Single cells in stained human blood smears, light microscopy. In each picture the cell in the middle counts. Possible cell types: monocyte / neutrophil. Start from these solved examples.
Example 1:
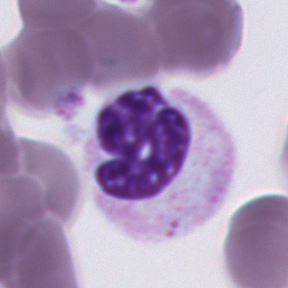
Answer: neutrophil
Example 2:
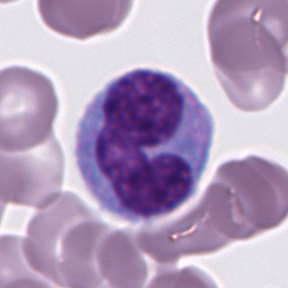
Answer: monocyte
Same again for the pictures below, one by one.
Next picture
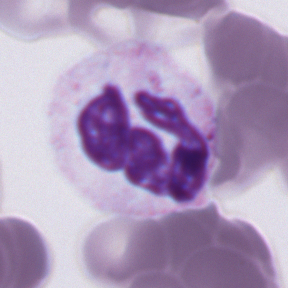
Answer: neutrophil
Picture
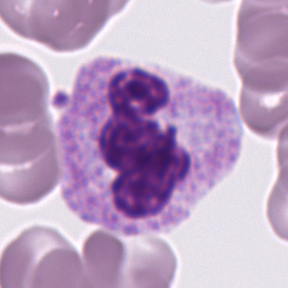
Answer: neutrophil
